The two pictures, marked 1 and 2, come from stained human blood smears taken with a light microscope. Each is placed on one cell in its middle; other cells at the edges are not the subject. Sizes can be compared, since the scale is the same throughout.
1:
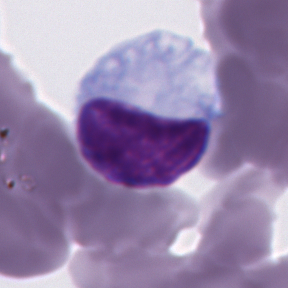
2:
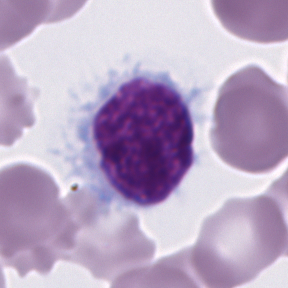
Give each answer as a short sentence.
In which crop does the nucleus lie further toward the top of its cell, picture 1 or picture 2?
Seen within its cell, the nucleus in picture 2 lies further toward the top.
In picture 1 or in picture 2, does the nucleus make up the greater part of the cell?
Of the two, the nucleus in picture 2 makes up the greater part of its cell.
